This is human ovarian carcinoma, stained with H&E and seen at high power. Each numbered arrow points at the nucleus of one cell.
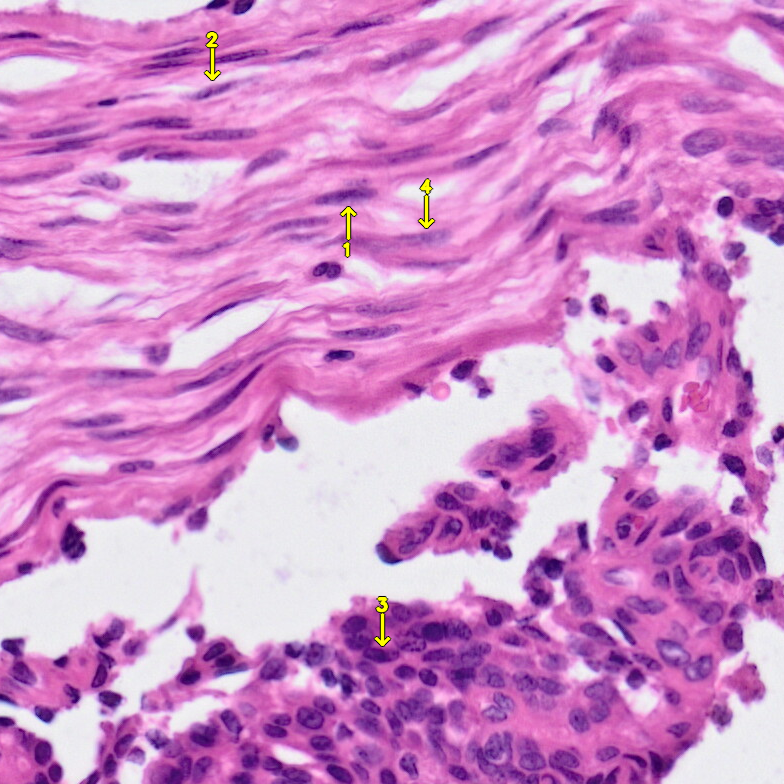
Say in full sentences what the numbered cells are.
Cell 1 is a fibroblast, cell 2 is a fibroblast, cell 3 is a carcinoma cell and cell 4 is a fibroblast.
